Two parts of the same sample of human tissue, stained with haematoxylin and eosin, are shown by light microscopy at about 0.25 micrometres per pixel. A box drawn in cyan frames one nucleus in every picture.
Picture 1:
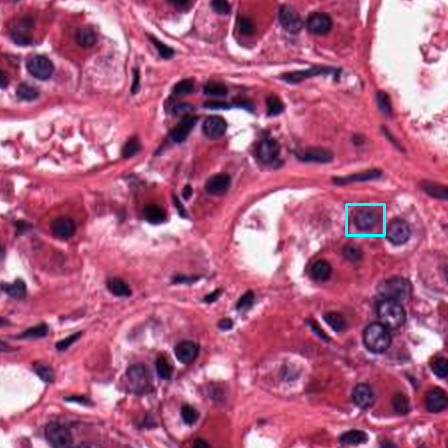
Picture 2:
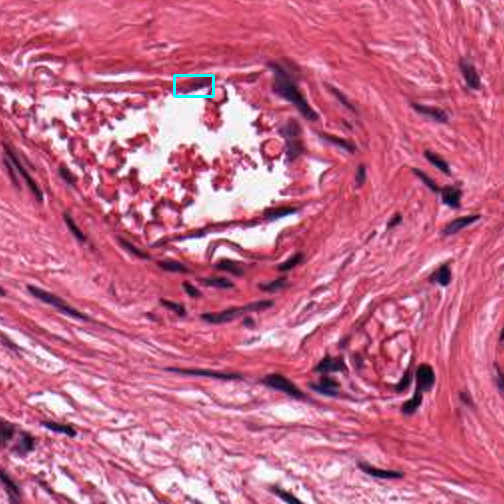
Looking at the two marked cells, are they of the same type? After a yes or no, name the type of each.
No, the first is an anterior pituitary cell and the second an endothelial cell.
